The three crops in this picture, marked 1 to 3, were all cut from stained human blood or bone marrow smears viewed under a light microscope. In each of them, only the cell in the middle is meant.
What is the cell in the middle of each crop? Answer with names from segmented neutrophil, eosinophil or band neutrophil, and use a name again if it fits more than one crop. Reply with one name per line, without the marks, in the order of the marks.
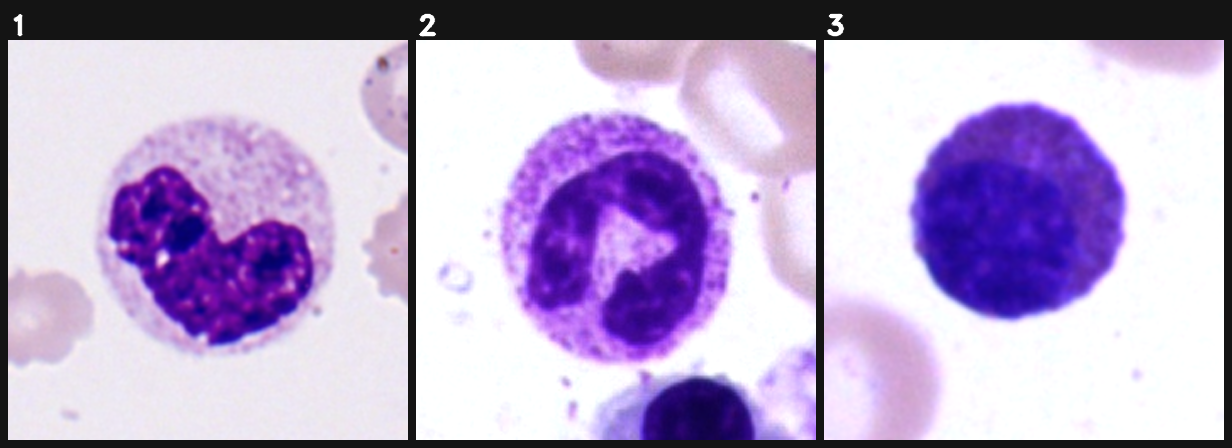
band neutrophil
segmented neutrophil
eosinophil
